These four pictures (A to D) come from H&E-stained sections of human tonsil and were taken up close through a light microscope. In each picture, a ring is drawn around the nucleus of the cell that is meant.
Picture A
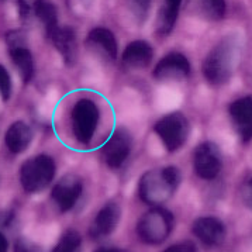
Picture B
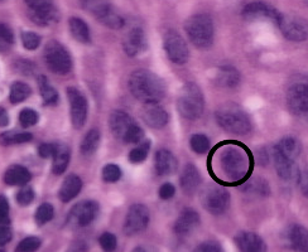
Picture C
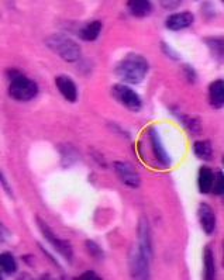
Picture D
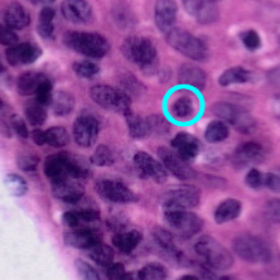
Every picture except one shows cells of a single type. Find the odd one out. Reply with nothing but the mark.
C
